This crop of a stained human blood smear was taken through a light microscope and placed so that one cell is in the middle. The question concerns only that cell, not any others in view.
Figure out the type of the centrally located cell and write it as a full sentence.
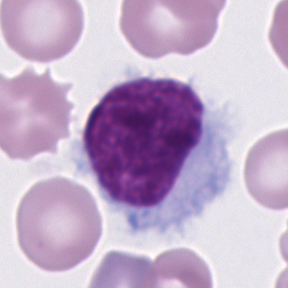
At the center of the crop sits a hairy cell.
